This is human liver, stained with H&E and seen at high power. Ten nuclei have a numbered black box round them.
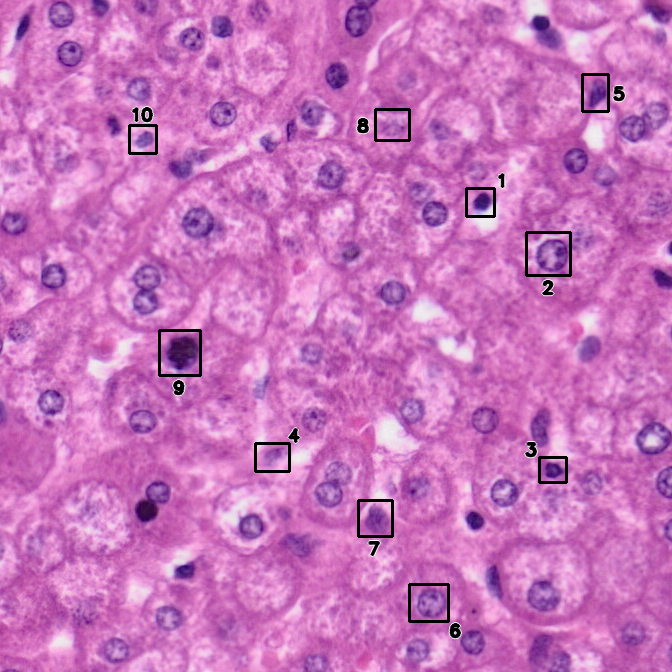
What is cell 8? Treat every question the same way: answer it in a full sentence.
Number 8 is placed on a hepatocyte here.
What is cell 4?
The cell that goes by number 4 is a Kupffer cell.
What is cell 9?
Cell 9 is classified as a hepatocyte.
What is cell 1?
The mark numbered 1 indicates the nucleus of a lymphocyte.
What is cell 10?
The cell marked with number 10 is a lymphocyte.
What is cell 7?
Number 7 is placed on a Kupffer cell here.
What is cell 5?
Regarding cell 5, this one is a fibroblast or stellate cell.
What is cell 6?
At number 6, the marked cell is a hepatocyte.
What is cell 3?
The nucleus labelled 3 belongs to a fibroblast or stellate cell.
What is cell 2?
Regarding cell 2, this one is a hepatocyte.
